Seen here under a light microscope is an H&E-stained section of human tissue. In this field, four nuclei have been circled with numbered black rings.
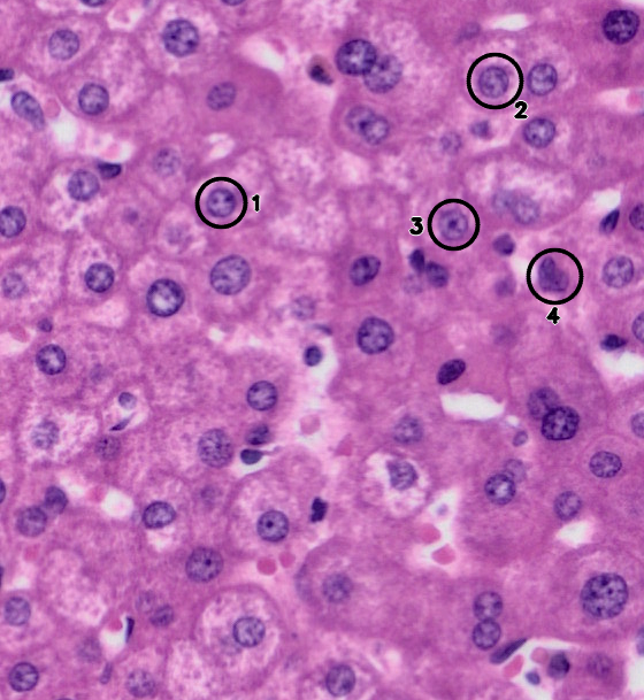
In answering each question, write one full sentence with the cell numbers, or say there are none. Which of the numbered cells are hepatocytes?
Each of the cells numbered 1, 2 and 3 is among the hepatocytes.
